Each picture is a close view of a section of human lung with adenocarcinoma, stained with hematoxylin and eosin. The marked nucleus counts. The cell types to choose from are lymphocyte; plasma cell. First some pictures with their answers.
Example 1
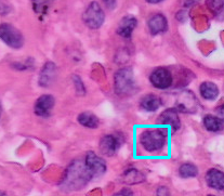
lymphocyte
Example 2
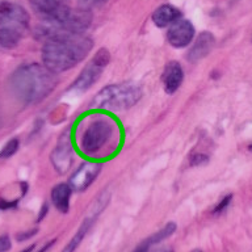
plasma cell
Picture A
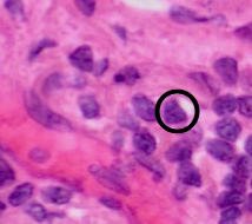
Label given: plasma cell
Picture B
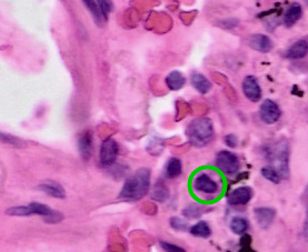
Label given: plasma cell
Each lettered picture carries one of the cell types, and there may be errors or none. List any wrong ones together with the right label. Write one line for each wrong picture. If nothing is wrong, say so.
Wrong: A (plasma cell); correct: lymphocyte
